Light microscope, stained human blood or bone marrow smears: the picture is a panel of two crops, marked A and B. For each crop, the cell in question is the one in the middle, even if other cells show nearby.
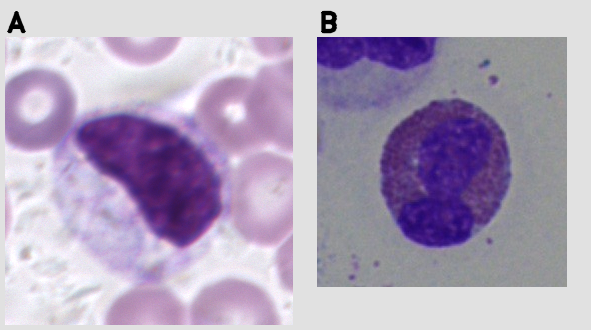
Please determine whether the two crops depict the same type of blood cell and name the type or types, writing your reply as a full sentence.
No, crop A features a metamyelocyte, while crop B features an eosinophil.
